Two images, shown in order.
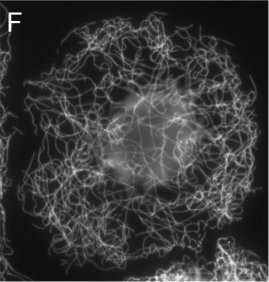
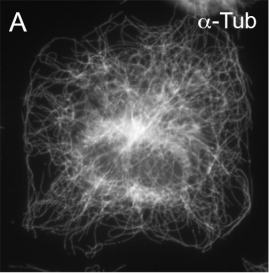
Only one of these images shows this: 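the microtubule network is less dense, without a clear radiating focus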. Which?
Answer: The first image.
